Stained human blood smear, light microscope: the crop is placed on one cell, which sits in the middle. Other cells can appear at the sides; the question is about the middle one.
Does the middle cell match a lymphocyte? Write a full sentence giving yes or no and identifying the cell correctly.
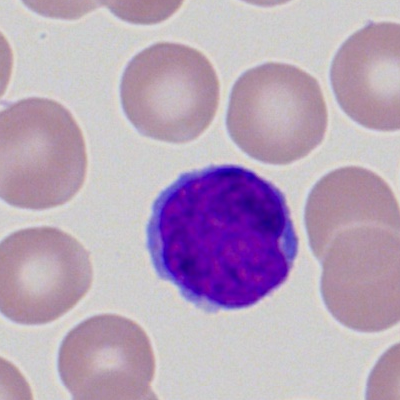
Yes, a lymphocyte is the cell positioned in the middle of the field.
